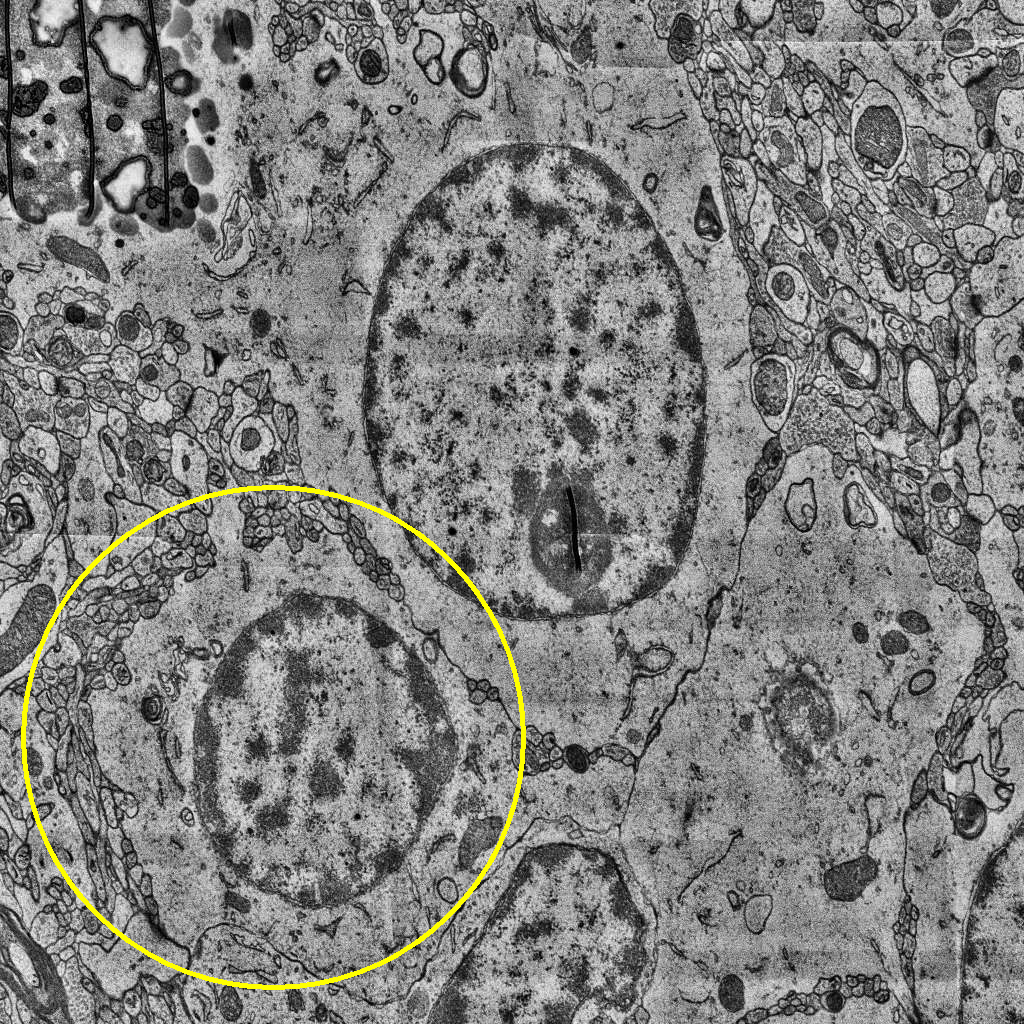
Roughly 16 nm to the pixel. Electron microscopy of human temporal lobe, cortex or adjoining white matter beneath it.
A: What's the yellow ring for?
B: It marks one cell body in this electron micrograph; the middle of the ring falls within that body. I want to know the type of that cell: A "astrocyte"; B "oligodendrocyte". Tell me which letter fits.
A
